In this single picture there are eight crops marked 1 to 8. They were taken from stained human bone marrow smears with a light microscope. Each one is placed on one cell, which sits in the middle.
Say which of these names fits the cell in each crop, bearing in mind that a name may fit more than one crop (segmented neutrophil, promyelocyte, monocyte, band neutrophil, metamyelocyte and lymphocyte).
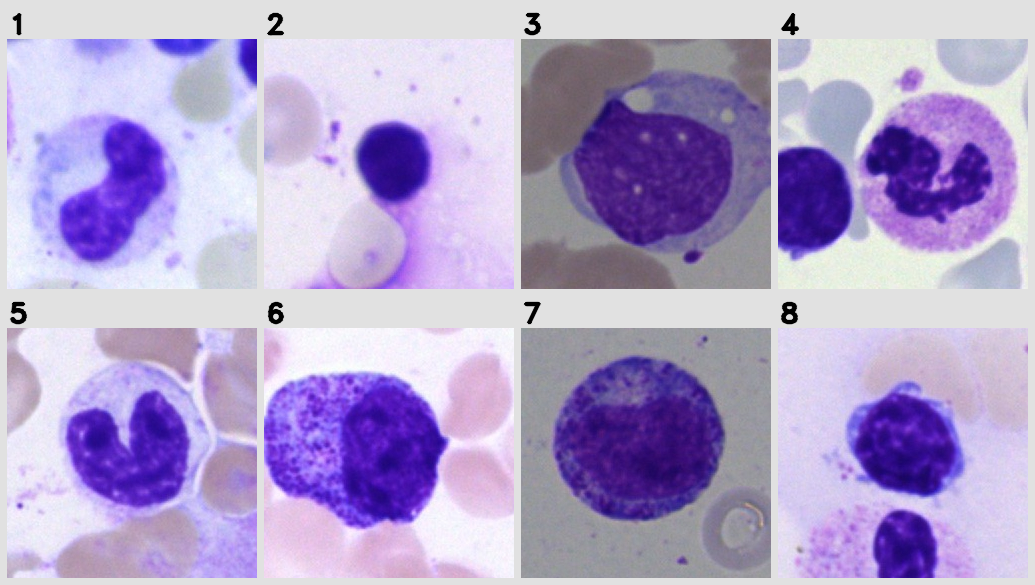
1: band neutrophil
2: lymphocyte
3: monocyte
4: segmented neutrophil
5: band neutrophil
6: promyelocyte
7: promyelocyte
8: lymphocyte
